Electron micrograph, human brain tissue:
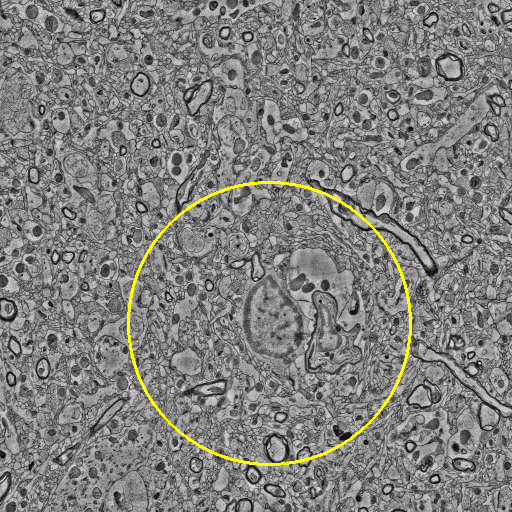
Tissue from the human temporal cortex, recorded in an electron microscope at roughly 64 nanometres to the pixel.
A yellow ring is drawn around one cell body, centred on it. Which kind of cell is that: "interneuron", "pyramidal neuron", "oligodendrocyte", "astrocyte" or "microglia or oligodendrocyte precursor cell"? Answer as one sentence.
It is an oligodendrocyte at the centre of the ring.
